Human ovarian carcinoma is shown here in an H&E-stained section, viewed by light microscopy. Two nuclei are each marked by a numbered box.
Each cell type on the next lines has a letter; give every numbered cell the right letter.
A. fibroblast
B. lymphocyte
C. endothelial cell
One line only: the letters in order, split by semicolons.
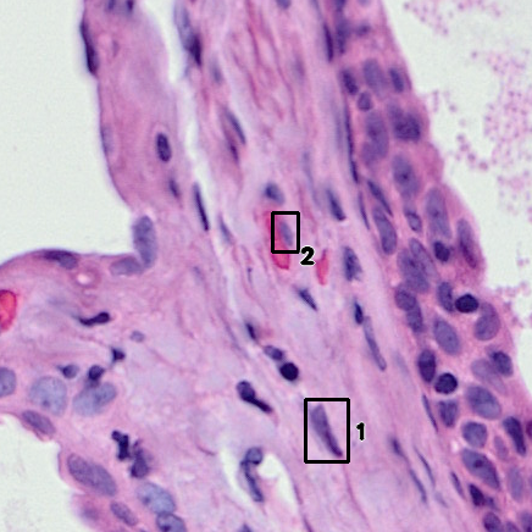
A; C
